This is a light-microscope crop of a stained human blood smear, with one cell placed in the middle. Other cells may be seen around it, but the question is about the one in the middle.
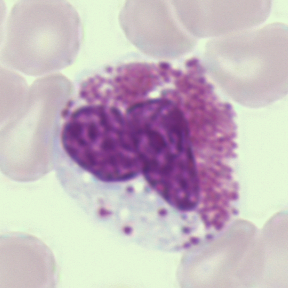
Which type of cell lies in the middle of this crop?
eosinophil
